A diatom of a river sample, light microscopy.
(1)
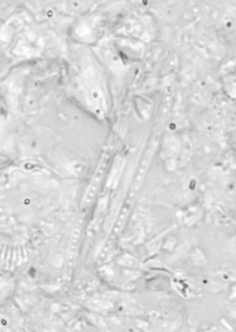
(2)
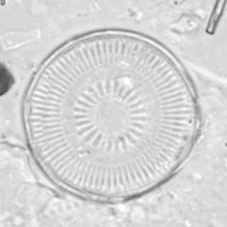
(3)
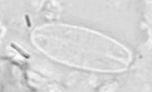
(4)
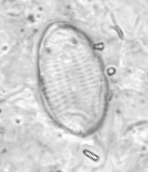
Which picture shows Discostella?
Picture 2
